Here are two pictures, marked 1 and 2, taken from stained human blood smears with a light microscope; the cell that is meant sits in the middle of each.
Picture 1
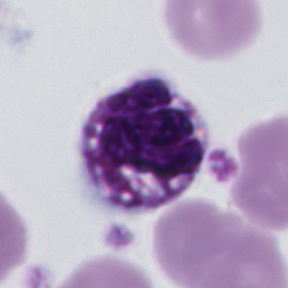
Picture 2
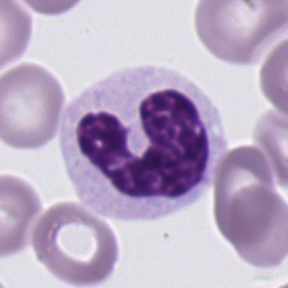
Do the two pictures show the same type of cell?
no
